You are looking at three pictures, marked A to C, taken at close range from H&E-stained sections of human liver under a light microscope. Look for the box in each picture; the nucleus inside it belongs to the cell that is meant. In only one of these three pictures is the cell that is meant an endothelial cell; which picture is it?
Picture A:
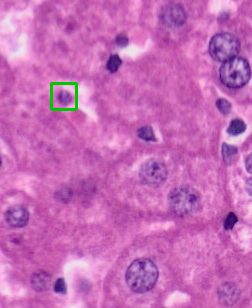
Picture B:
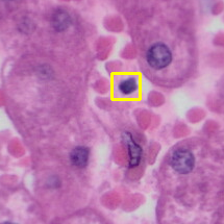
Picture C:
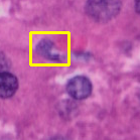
C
